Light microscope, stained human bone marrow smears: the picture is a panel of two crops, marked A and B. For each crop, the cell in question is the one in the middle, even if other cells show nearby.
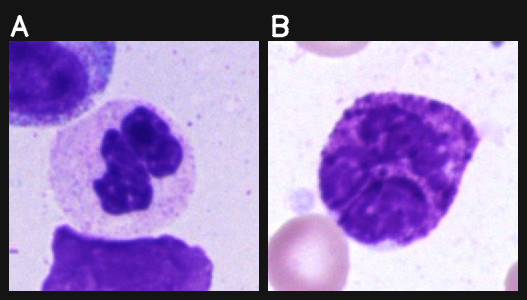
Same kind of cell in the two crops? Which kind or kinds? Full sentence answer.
No, a segmented neutrophil is depicted by crop A, a basophil by crop B.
